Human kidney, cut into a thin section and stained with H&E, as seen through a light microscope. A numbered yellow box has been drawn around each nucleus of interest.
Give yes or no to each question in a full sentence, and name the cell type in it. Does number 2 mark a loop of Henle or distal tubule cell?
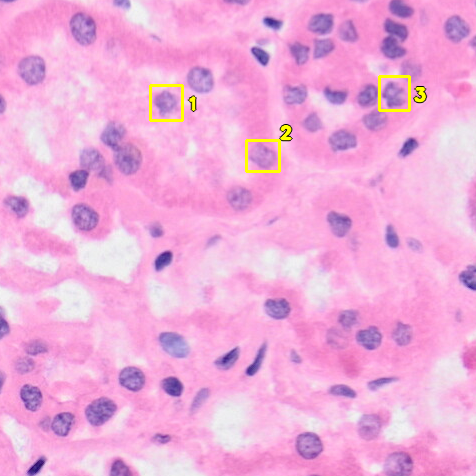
No, cell 2 does not count as a loop of Henle or distal tubule cell; it is a proximal tubule cell.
